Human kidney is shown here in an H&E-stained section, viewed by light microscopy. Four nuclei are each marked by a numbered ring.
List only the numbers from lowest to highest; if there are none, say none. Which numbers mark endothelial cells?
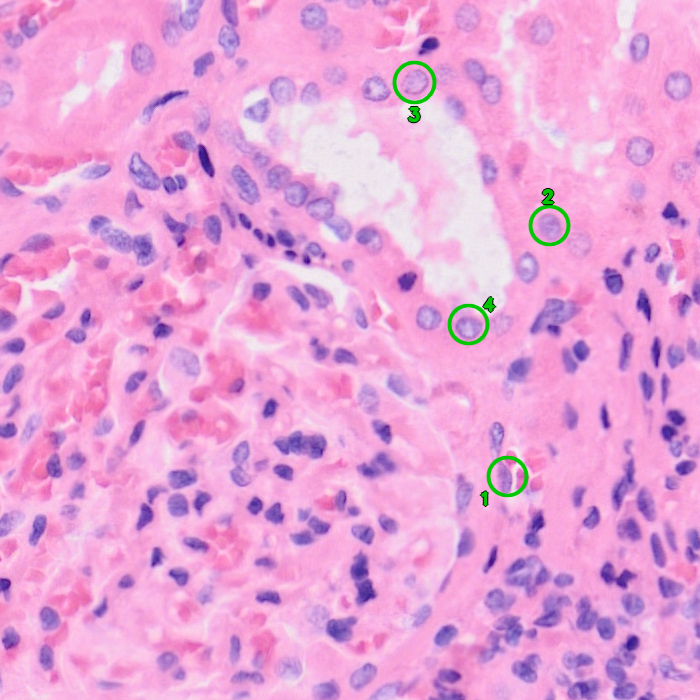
1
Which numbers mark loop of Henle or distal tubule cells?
3, 4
